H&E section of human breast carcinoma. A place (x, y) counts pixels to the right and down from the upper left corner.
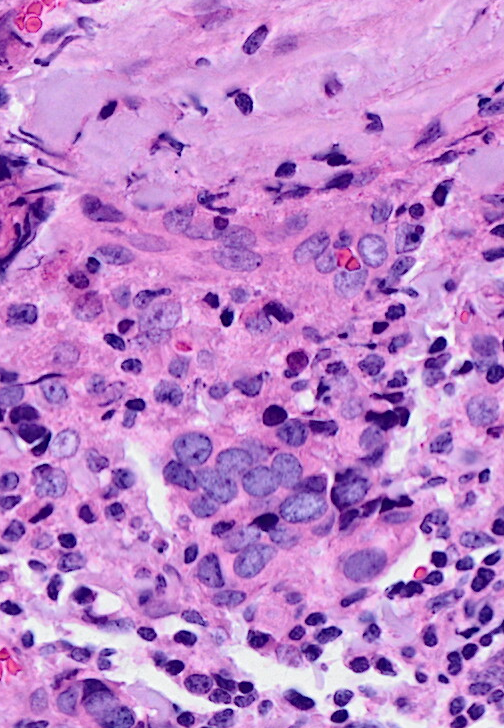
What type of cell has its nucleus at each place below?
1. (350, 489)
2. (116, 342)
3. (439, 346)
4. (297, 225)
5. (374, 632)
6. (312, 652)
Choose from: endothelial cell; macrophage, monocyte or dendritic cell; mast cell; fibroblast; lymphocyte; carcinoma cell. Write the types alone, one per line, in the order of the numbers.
carcinoma cell
lymphocyte
lymphocyte
endothelial cell
lymphocyte
lymphocyte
